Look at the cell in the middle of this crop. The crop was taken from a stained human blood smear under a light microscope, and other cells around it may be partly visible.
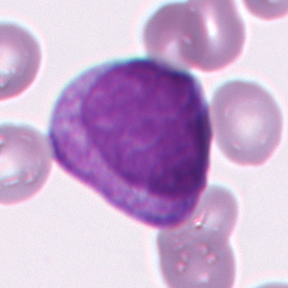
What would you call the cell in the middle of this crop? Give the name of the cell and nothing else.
atypical promyelocyte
